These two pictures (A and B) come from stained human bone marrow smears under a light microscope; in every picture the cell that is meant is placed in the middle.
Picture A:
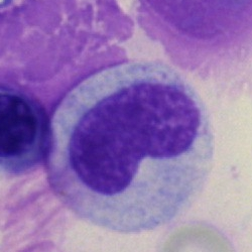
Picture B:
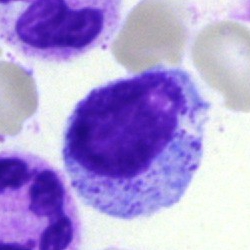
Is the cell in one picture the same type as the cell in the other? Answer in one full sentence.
No; the cell in picture A is a monocyte, while the one in picture B is a myelocyte.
